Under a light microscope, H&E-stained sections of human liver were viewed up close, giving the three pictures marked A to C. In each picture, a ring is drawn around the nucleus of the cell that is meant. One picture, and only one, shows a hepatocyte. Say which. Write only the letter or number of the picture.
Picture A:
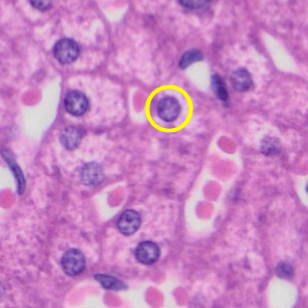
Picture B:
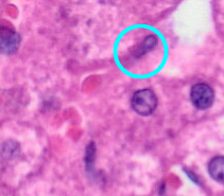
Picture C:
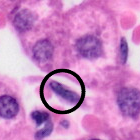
A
